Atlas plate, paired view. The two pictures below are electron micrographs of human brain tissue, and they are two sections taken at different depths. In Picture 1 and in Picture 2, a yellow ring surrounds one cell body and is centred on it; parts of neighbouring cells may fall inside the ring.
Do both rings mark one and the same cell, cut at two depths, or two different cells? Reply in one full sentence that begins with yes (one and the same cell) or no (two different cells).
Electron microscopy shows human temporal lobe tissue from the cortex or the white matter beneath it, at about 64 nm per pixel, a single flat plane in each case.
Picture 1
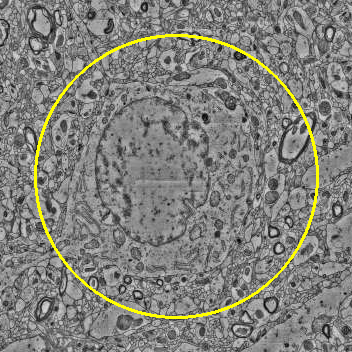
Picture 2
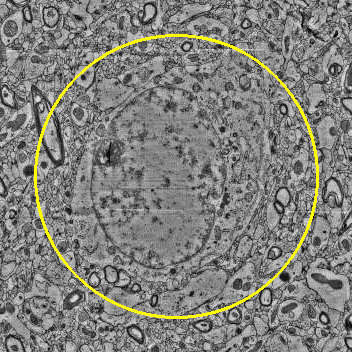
Yes, the cell inside the first ring is the cell inside the second.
